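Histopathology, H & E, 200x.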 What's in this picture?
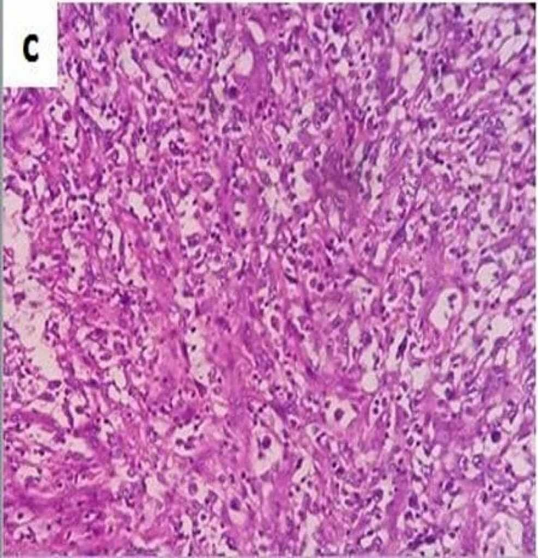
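A hypercellular area of epithelioid cells fills the field, the cells arranged singly and in small clusters. The cells are rounded to polygonal with pink cytoplasm and purple nuclei, separated by small clear spaces and thin pink stroma.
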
